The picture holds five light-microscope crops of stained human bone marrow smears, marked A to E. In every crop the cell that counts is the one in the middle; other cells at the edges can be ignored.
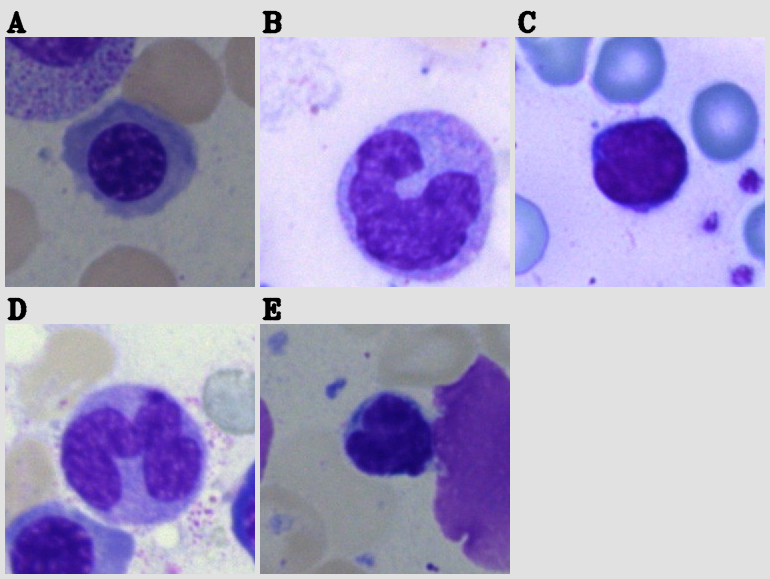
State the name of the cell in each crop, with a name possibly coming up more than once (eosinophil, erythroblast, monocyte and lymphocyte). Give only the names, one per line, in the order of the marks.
erythroblast
monocyte
lymphocyte
monocyte
lymphocyte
